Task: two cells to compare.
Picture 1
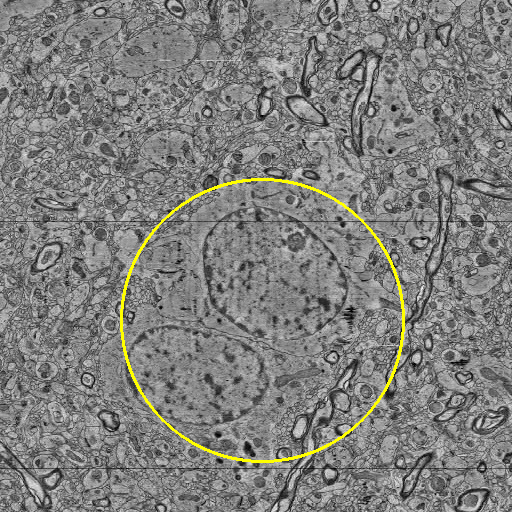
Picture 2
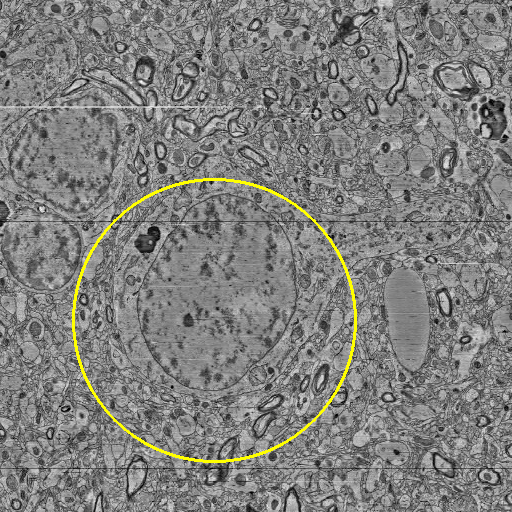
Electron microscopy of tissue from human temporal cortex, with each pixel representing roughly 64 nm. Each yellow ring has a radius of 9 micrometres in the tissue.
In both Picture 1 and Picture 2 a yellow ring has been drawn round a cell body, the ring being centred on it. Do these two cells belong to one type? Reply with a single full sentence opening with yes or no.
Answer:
No, the two cells at the ring centres in Picture 1 and Picture 2 are of two types.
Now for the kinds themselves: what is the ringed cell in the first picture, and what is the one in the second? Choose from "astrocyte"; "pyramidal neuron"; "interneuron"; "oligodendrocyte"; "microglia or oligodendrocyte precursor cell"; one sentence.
Here the first cell is an astrocyte and the second cell is a pyramidal neuron.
